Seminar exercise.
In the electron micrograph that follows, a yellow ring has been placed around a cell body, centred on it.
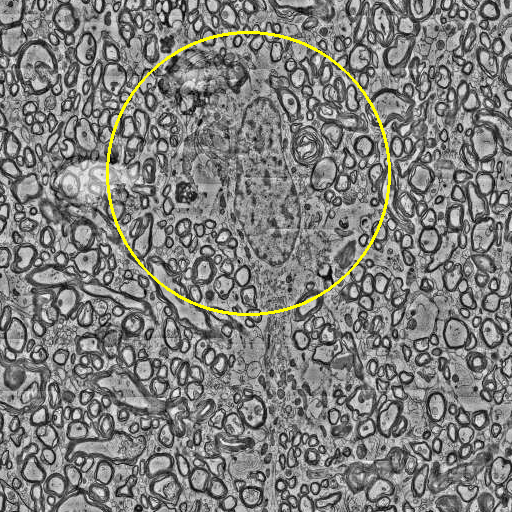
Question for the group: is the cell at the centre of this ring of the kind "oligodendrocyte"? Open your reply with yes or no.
No, the cell in the ring's centre is of another kind.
